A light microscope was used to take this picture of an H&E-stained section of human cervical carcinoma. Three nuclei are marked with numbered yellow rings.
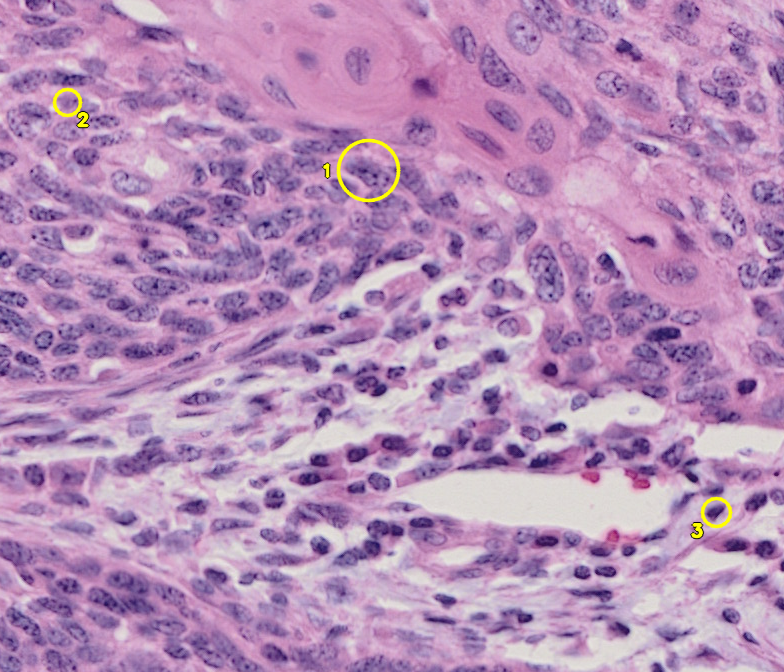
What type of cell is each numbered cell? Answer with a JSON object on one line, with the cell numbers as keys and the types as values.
{"1": "squamous carcinoma cell", "2": "squamous carcinoma cell", "3": "lymphocyte"}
